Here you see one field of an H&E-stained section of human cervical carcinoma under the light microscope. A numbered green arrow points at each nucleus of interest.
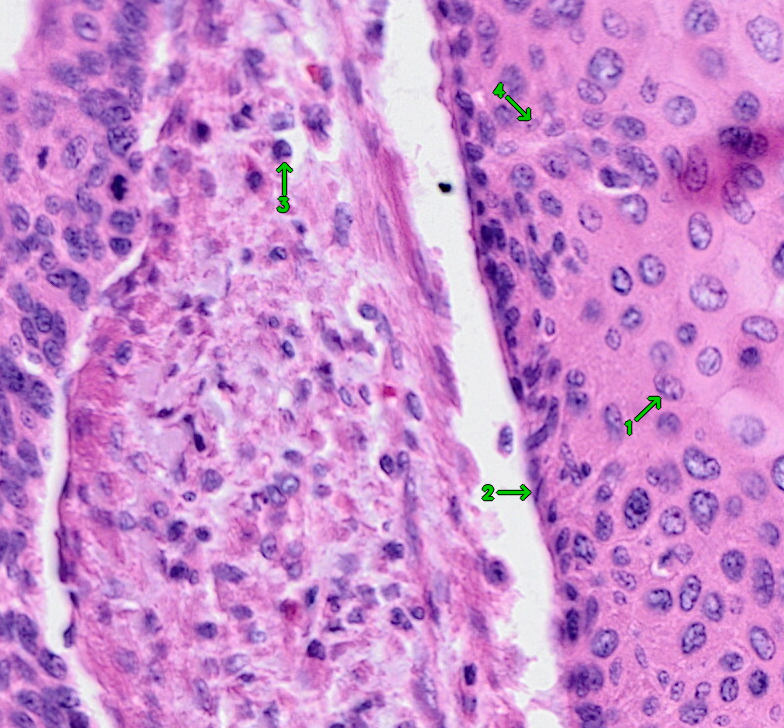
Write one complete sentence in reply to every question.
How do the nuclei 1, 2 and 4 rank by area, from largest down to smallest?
The nuclei rank 1, 2, 4, from largest to smallest.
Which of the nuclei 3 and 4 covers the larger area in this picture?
At about 3 times the area of nucleus 4, nucleus 3 is the larger of the two.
